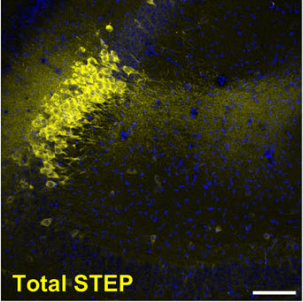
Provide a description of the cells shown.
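One segment of the band stands out: a cluster of large cell bodies filled with bright yellow label, some with short processes leaving them. Beyond this cluster, the rest of the band and the neighbouring layers are only faintly labelled.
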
